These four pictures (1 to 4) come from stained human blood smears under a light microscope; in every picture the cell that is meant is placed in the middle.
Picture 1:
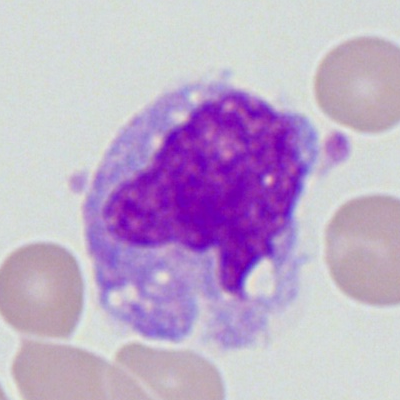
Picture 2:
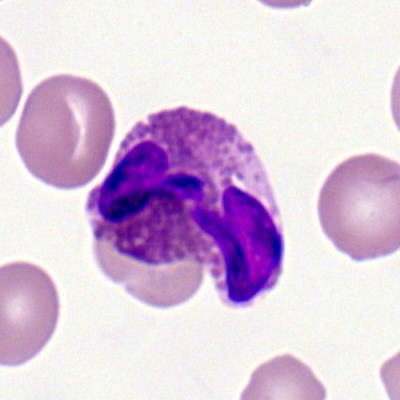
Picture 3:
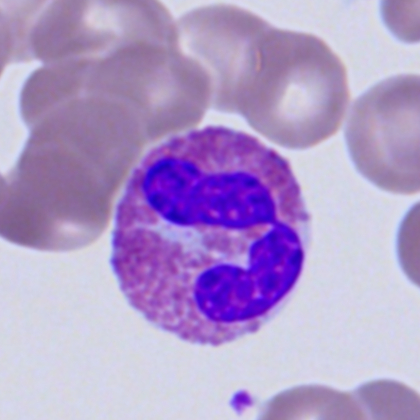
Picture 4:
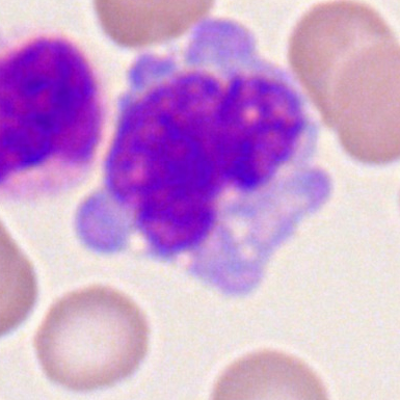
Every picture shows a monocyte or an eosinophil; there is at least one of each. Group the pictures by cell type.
1: monocyte
2: eosinophil
3: eosinophil
4: monocyte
